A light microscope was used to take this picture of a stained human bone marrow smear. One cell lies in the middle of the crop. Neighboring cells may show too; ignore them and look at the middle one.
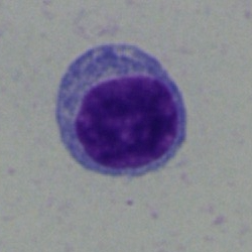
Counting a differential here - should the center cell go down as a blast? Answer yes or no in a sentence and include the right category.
No, the centre of the crop is taken up by a lymphocyte, not a blast.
